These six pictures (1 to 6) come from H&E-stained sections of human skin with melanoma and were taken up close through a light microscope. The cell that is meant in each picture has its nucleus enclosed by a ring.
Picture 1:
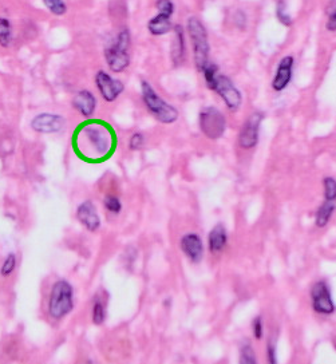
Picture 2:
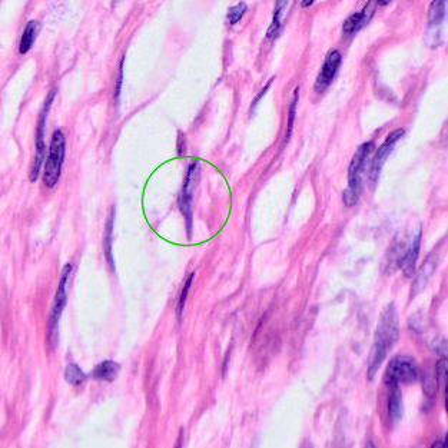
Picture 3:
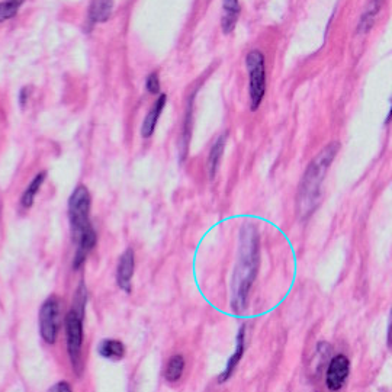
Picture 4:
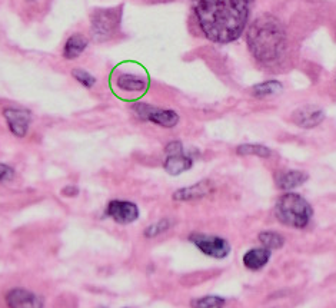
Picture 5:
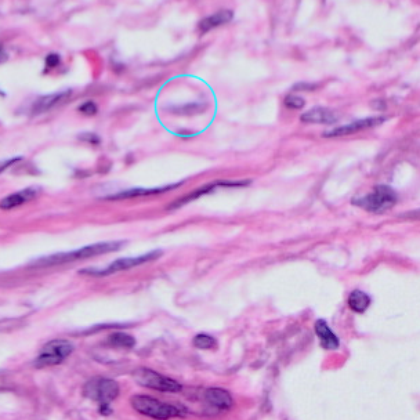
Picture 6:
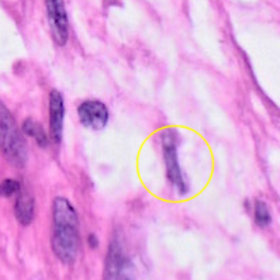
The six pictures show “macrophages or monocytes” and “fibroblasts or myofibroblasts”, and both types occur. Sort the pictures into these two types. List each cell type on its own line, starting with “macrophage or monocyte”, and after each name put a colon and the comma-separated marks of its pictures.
macrophage or monocyte: 1, 4
fibroblast or myofibroblast: 2, 3, 5, 6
